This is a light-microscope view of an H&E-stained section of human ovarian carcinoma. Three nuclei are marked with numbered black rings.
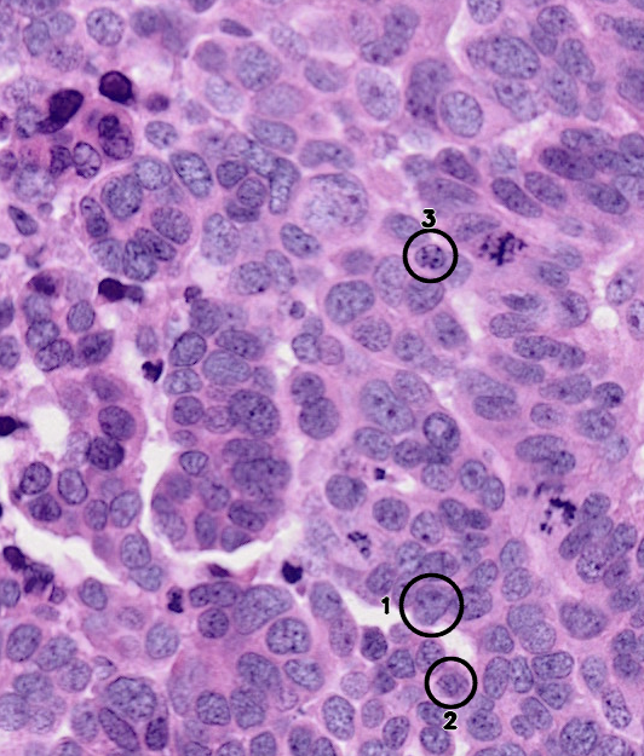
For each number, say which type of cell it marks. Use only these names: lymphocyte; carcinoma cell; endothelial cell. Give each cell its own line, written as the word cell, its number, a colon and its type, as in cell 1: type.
cell 1: carcinoma cell
cell 2: carcinoma cell
cell 3: lymphocyte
